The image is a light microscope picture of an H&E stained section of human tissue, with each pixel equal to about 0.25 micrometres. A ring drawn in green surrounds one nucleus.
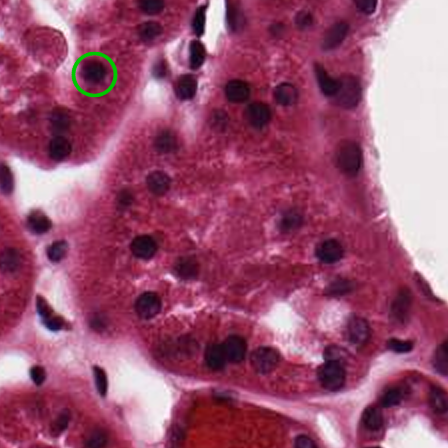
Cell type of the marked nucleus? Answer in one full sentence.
The nucleus indicated by the mark belongs to a proximal tubule cell.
